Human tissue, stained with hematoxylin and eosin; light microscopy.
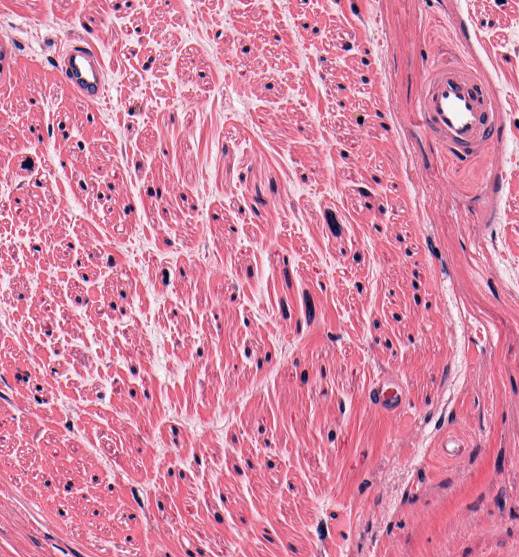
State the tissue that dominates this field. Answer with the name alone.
nerve fascicle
